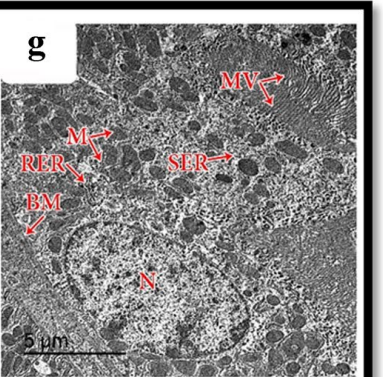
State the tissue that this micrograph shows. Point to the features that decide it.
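Epithelial cells carry a band of closely packed microvilli at their apical border. The cytoplasm is crowded with numerous dark mitochondria. The cells rest on a basement membrane at the lower left. That points to this answer: proximal convoluted tubules.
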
